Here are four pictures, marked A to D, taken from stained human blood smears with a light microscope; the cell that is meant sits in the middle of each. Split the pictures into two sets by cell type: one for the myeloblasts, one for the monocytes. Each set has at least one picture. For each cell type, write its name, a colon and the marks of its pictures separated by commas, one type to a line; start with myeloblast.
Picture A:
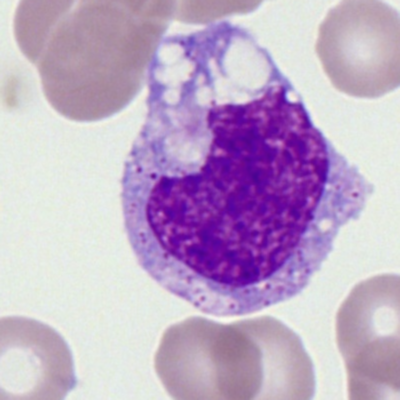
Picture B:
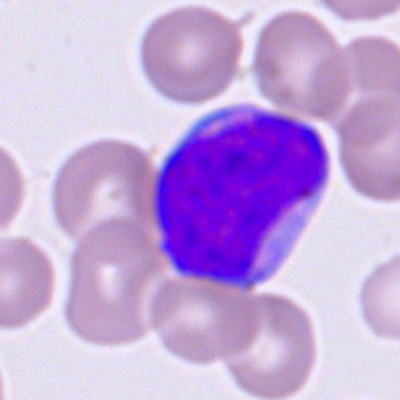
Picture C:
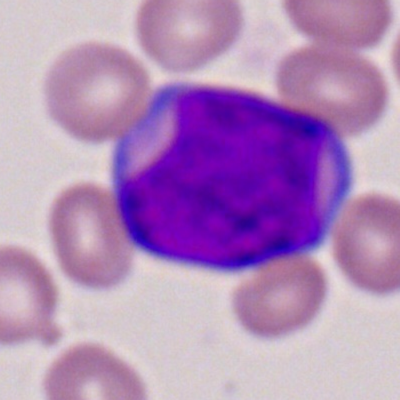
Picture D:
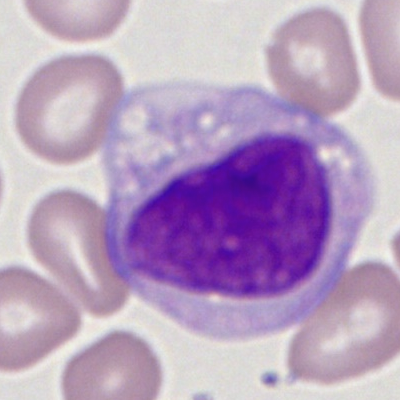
myeloblast: B, C
monocyte: A, D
